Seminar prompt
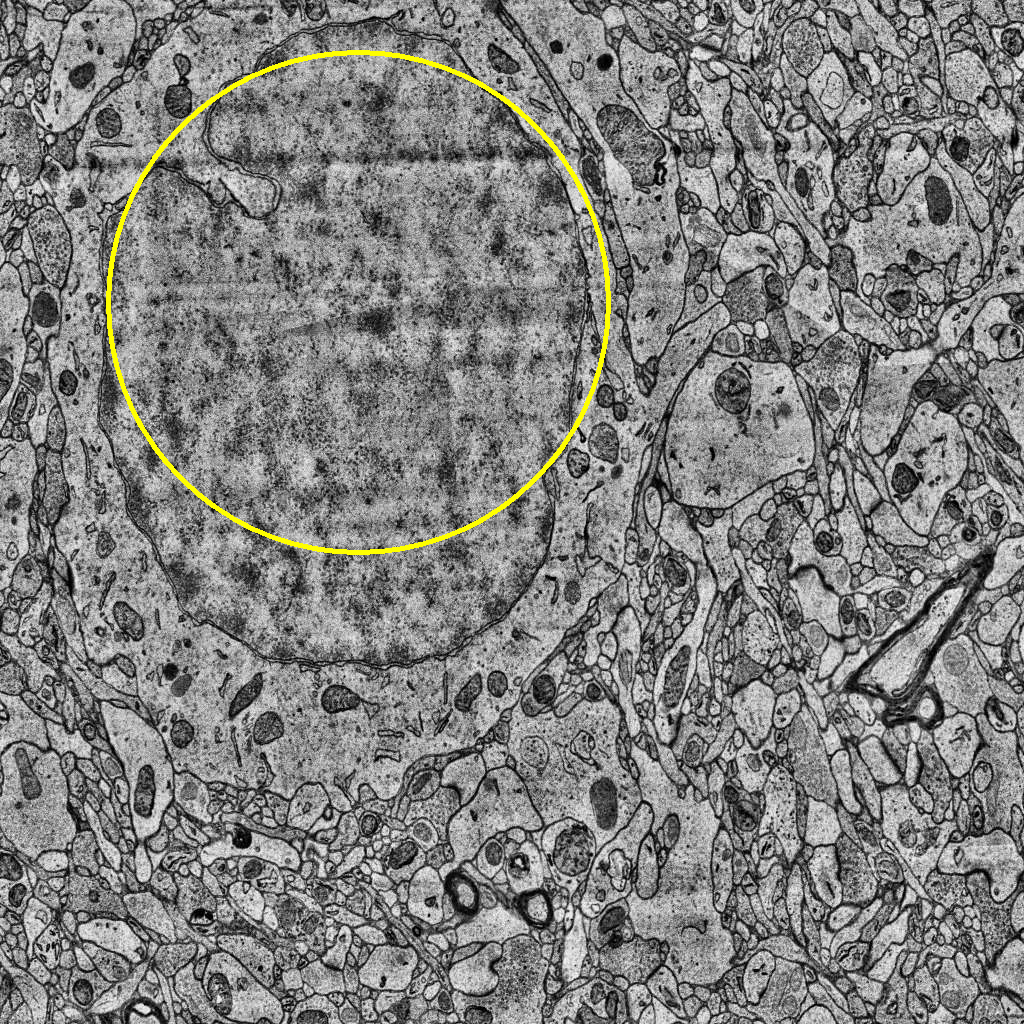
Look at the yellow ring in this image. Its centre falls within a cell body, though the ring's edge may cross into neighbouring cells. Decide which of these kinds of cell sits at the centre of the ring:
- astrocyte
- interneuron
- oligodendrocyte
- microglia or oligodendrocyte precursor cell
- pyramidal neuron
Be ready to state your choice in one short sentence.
The kind of cell at the ring's centre is an interneuron.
